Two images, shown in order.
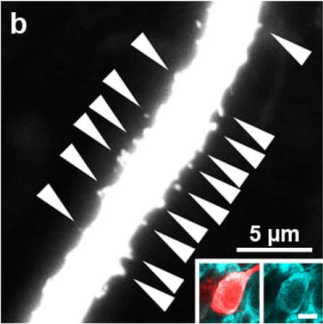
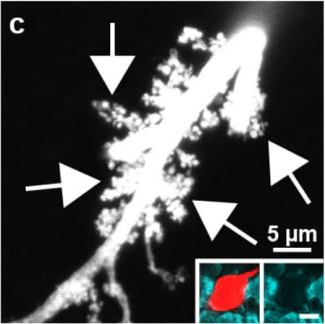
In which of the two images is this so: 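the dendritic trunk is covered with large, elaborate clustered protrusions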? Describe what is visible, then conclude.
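First image: the trunk bears only small, simple protrusions along its edges. Second image: the trunk is enveloped by big, multilobed, grape-like clusters.
The second image.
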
